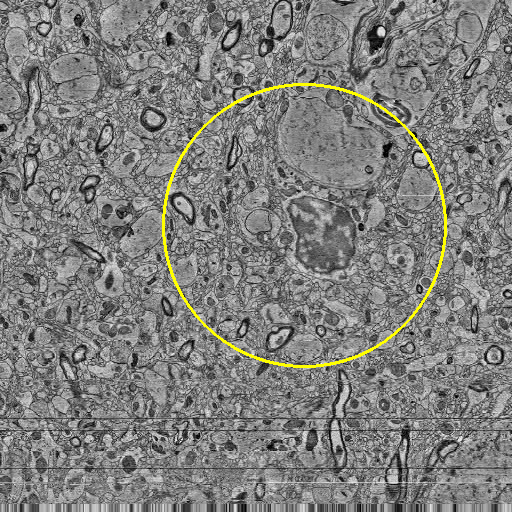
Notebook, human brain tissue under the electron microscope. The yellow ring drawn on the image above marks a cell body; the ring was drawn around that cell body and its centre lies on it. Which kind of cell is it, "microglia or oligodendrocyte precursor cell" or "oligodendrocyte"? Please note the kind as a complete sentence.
The marked cell body is that of a microglial cell or oligodendrocyte precursor cell.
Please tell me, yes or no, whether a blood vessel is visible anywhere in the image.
Yes.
